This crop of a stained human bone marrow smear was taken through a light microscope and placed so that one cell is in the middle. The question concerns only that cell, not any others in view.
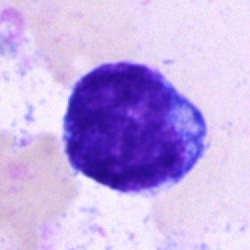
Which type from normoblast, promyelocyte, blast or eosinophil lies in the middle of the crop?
blast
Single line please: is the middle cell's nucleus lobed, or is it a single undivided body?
What stands out is a nucleus forming one compact round, oval or kidney-shaped mass.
